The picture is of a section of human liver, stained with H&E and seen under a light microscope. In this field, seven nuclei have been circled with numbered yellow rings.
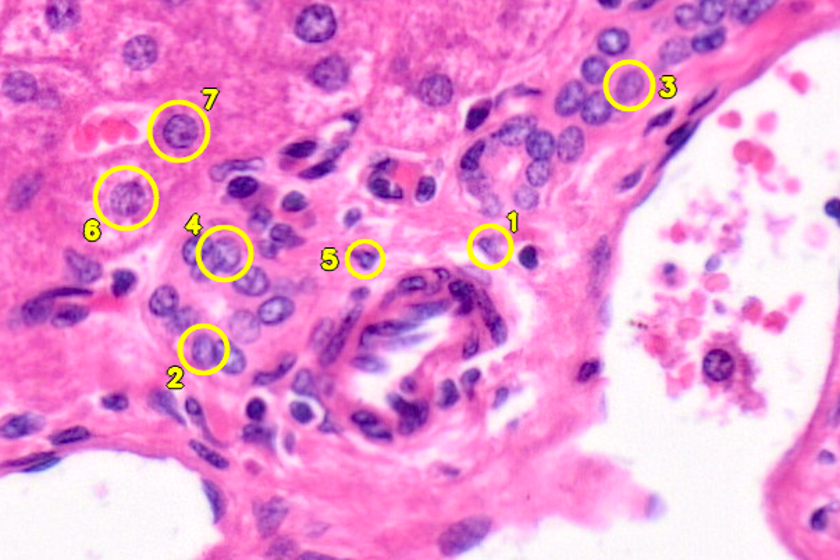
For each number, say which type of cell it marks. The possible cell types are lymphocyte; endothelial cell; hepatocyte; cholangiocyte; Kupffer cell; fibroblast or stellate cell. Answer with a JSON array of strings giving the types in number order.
["fibroblast or stellate cell", "cholangiocyte", "cholangiocyte", "cholangiocyte", "fibroblast or stellate cell", "hepatocyte", "hepatocyte"]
